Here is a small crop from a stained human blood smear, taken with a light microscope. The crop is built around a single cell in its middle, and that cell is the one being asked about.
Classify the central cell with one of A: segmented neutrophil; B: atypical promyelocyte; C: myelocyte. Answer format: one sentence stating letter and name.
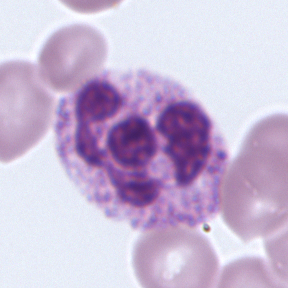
Of the choices given, option A is right, as the central cell is a segmented neutrophil.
